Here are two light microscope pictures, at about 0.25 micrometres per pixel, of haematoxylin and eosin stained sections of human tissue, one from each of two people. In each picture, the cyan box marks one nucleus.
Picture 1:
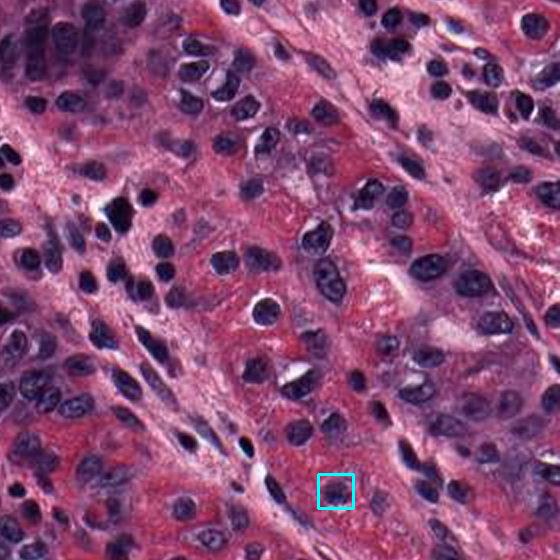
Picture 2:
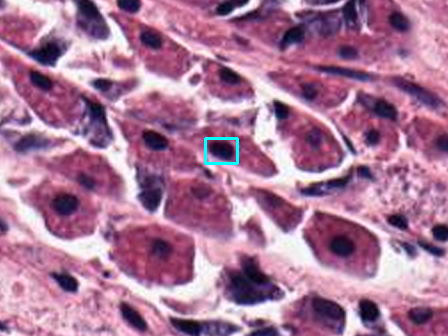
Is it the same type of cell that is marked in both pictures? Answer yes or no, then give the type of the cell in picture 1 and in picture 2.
Yes, both are parietal cells.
